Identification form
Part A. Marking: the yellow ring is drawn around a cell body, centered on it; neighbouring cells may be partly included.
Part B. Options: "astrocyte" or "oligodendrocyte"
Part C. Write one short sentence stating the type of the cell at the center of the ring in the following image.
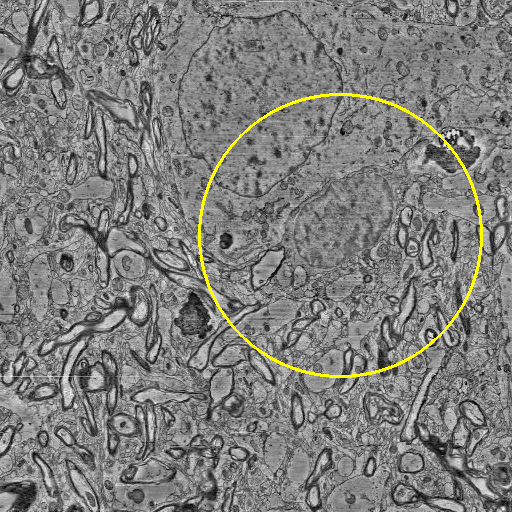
The center of the ring holds an oligodendrocyte.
